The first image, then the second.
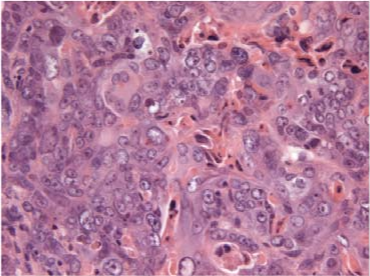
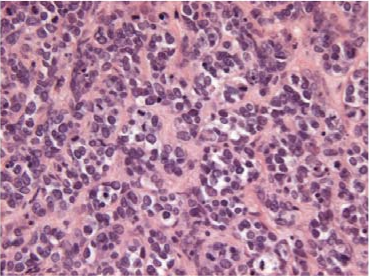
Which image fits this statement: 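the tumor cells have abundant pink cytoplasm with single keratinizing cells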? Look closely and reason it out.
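First image: large polygonal cells with plentiful pink cytoplasm, some densely eosinophilic. Second image: small crowded cells with dark nuclei and scant cytoplasm. On this evidence: the first image.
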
